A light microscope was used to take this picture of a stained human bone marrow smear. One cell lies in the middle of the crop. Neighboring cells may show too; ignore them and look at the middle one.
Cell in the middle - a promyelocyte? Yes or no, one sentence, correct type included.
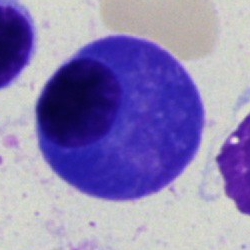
No, what lies at the heart of the crop is a plasma cell, not a promyelocyte.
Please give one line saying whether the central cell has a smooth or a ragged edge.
Expected answer: a smooth cell outline without projections of any sort.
